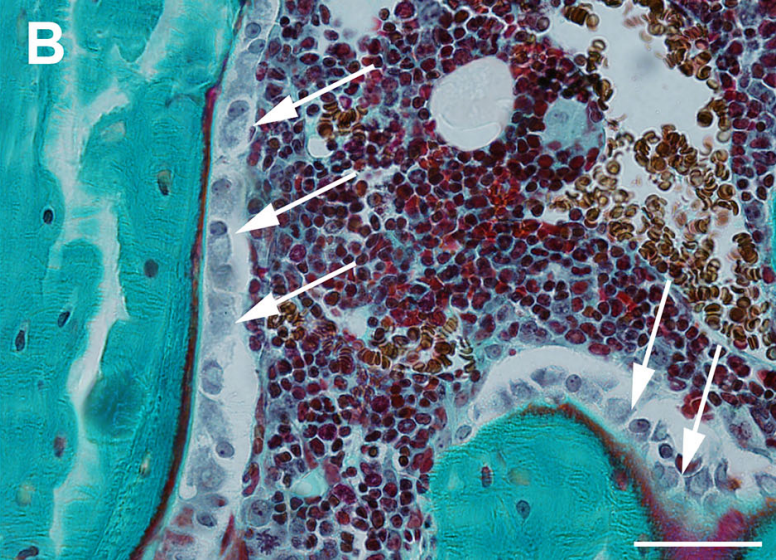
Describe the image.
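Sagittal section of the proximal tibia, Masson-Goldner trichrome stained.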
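Green-stained bone containing osteocytes in lacunae borders marrow densely packed with dark red hematopoietic cells and clusters of brown-orange red blood cells. Along the bone surface a single row of plump osteoblasts with round nuclei lines a thin red seam of osteoid.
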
